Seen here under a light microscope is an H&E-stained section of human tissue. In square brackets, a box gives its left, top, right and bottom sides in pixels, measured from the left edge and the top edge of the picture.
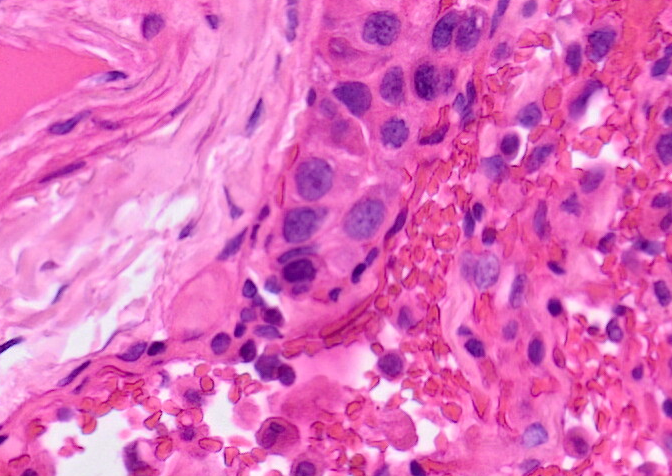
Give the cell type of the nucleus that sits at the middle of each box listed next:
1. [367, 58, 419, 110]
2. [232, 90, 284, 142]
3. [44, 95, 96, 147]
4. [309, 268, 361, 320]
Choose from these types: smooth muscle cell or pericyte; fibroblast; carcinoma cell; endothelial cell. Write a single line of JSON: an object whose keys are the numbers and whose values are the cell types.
{"1": "carcinoma cell", "2": "fibroblast", "3": "smooth muscle cell or pericyte", "4": "endothelial cell"}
